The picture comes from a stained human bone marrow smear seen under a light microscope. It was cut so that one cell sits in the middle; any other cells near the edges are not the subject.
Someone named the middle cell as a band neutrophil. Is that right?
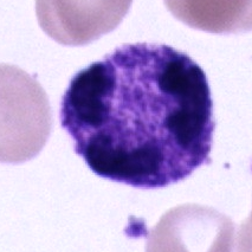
no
